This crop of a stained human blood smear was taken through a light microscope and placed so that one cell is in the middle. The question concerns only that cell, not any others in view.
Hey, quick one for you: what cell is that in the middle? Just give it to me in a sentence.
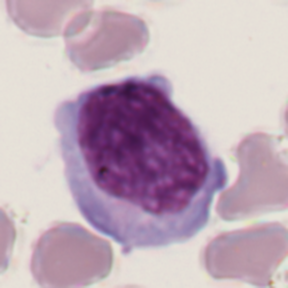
Regarding the central cell, it is a plasma cell.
